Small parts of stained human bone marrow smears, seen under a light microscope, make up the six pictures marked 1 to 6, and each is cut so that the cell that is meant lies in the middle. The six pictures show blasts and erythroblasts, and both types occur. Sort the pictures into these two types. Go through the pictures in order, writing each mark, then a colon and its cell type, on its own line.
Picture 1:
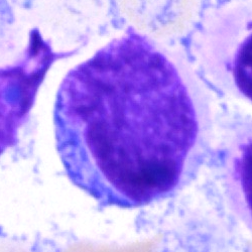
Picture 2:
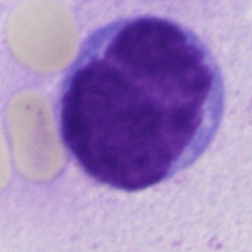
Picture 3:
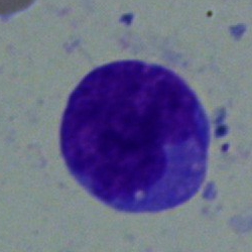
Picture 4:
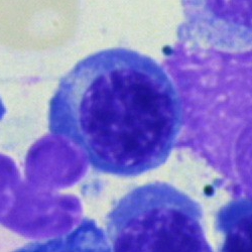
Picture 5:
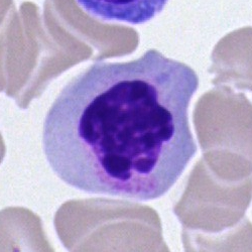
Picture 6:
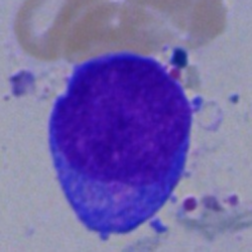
1: blast
2: blast
3: blast
4: erythroblast
5: erythroblast
6: blast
